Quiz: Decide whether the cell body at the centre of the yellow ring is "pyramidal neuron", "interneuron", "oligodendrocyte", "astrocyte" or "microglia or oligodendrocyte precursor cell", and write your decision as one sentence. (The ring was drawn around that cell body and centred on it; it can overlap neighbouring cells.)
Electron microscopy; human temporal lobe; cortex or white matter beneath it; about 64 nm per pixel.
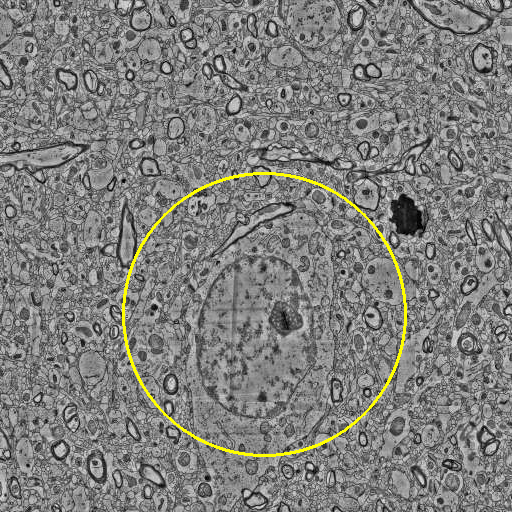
The cell the ring is centred on is an interneuron.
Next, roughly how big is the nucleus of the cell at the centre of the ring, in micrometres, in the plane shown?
In this plane the nucleus spans approximately 10 by 8 micrometers.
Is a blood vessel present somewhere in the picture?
No.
